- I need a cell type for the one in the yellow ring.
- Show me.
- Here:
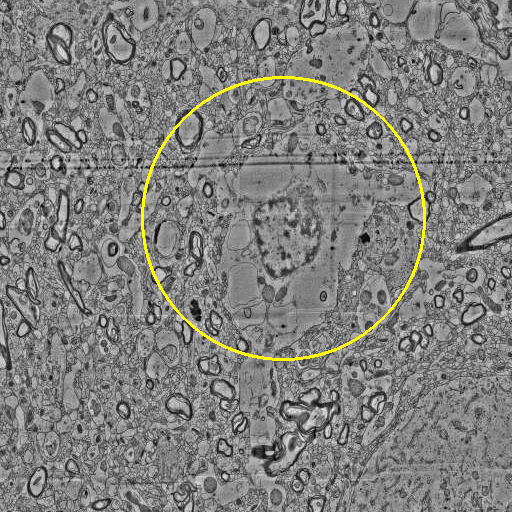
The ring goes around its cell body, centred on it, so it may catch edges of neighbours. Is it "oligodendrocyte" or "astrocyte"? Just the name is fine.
astrocyte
